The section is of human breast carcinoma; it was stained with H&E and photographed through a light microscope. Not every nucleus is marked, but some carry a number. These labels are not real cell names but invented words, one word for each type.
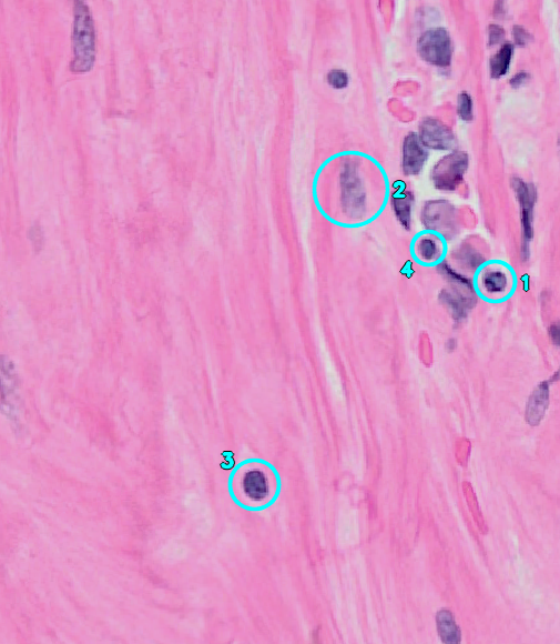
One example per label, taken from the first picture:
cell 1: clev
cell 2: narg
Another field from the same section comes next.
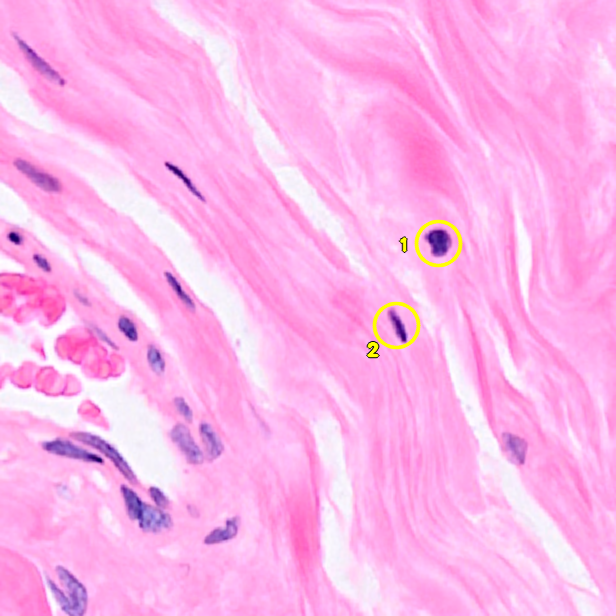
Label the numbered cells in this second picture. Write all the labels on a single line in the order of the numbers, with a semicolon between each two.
clev; narg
